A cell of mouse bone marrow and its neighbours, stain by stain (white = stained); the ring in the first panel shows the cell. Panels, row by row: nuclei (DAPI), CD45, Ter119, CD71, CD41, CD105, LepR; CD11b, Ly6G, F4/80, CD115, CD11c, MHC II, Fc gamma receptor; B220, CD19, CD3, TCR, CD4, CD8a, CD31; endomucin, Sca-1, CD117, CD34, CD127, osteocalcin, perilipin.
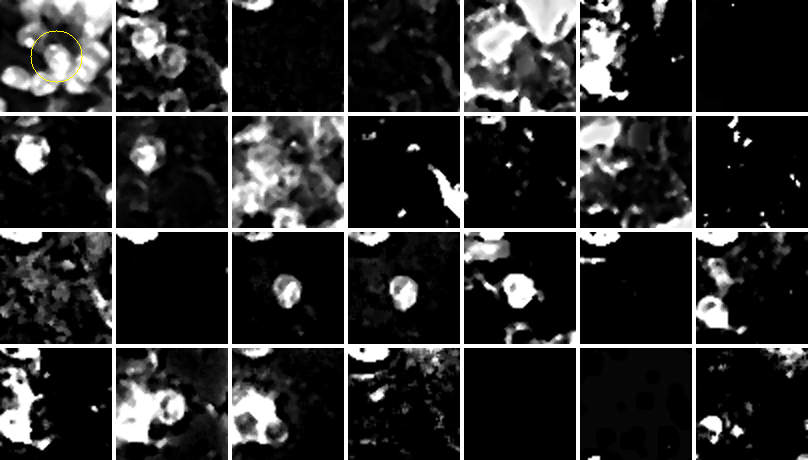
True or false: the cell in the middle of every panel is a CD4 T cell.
True.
